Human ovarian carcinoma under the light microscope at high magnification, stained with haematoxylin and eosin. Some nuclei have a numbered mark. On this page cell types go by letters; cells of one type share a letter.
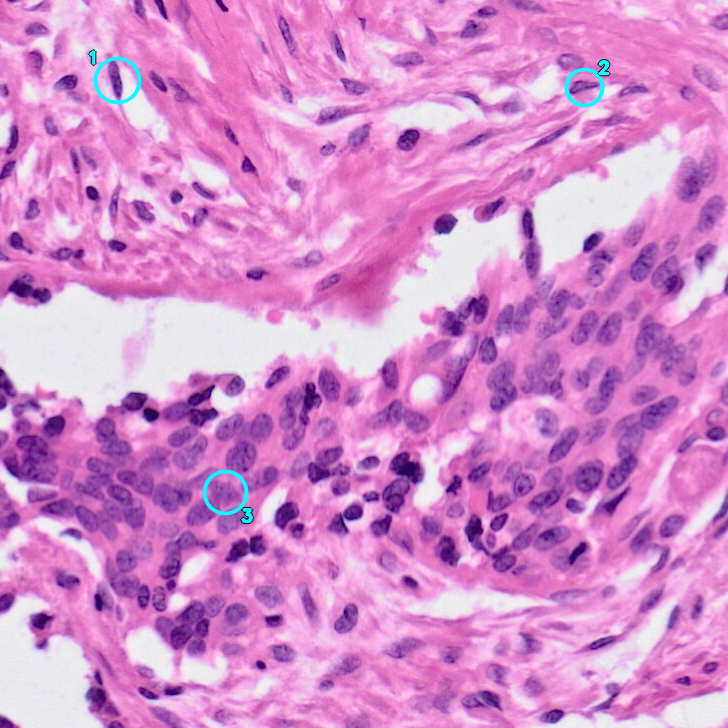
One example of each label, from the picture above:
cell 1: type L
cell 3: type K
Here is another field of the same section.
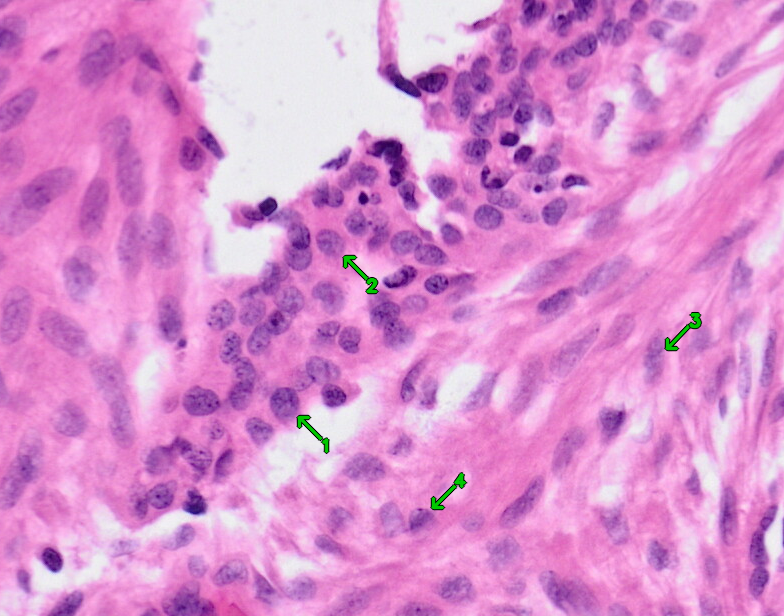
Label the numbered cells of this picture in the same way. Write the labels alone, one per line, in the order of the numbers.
type K
type K
type L
type L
